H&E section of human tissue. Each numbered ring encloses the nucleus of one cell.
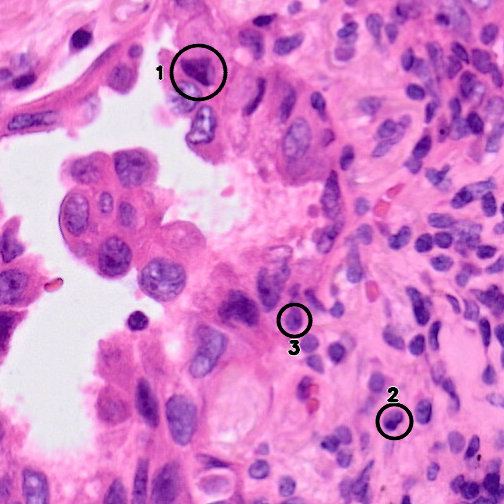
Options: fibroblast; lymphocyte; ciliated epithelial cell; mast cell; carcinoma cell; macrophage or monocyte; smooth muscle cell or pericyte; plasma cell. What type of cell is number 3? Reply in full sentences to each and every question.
Identified by the number 3, the cell is a lymphocyte.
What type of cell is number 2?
The cell that goes by number 2 is a lymphocyte.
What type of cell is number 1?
Cell 1 should be recorded as a carcinoma cell.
